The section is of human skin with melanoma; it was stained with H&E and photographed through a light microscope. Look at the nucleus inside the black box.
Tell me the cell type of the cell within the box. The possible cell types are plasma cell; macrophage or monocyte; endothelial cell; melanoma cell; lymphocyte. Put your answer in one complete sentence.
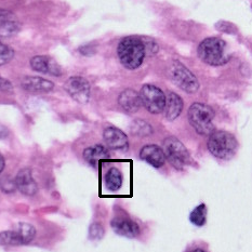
Cell type answer for this item: the cell within the box is a lymphocyte.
